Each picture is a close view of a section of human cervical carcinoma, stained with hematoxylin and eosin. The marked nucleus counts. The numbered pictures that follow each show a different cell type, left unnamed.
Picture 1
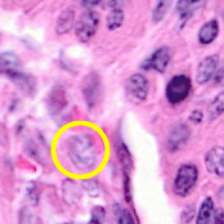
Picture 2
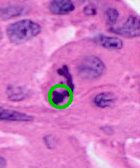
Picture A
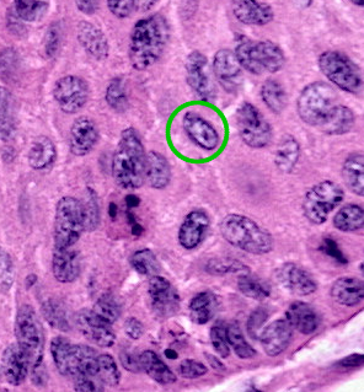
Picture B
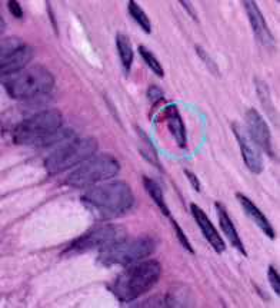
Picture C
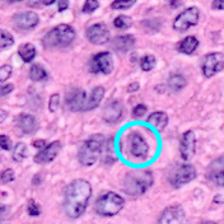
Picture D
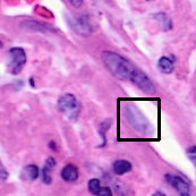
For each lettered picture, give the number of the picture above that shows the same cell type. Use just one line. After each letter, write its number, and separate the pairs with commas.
A 2, B 1, C 2, D 1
